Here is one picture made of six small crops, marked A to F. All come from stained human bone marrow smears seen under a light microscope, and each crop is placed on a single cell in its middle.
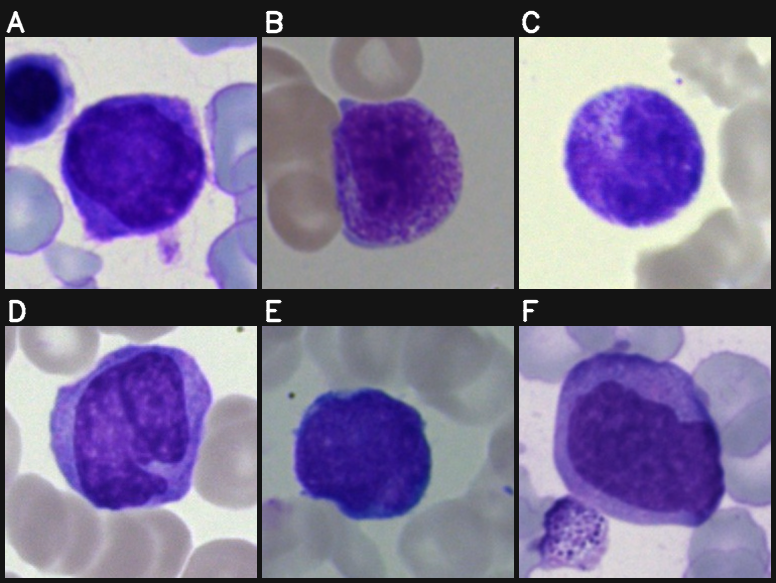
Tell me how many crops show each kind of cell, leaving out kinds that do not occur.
blast: 2
myelocyte: 2
monocyte: 2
